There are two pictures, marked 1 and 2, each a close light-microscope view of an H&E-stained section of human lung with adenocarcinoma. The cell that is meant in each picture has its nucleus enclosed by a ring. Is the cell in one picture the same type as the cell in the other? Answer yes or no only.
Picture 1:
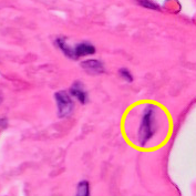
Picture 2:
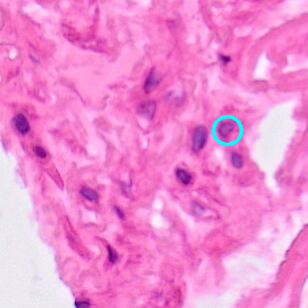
no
